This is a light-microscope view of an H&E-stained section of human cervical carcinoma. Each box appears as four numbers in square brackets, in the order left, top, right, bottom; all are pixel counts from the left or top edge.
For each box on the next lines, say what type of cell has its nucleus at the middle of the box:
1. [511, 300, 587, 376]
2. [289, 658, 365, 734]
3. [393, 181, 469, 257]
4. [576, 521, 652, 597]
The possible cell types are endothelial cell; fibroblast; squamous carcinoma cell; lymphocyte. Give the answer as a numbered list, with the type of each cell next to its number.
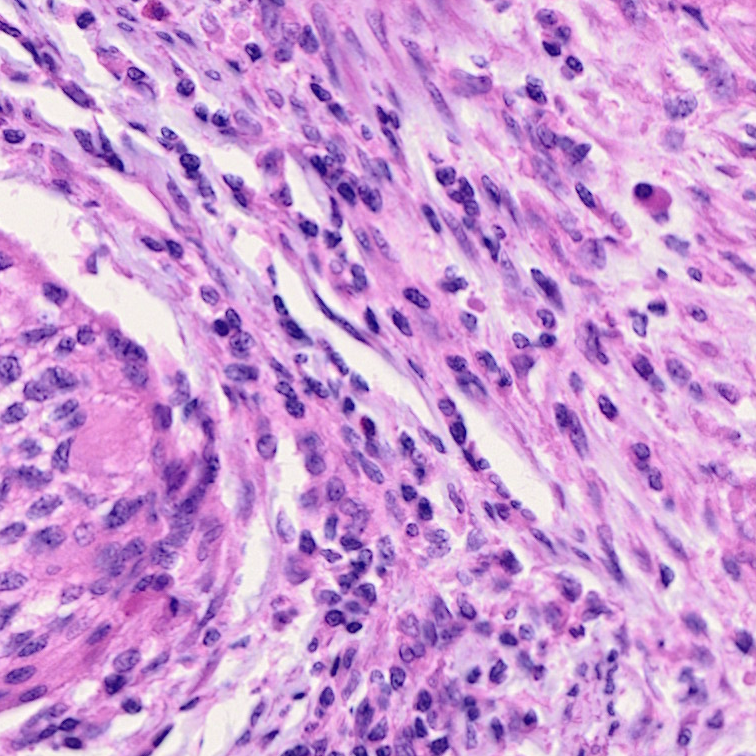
1. lymphocyte
2. lymphocyte
3. lymphocyte
4. fibroblast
